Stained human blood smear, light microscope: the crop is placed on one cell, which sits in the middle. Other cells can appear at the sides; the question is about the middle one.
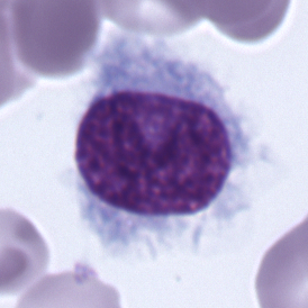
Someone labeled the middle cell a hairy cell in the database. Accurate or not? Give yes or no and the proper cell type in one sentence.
Yes, the cell here in the middle is a hairy cell.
